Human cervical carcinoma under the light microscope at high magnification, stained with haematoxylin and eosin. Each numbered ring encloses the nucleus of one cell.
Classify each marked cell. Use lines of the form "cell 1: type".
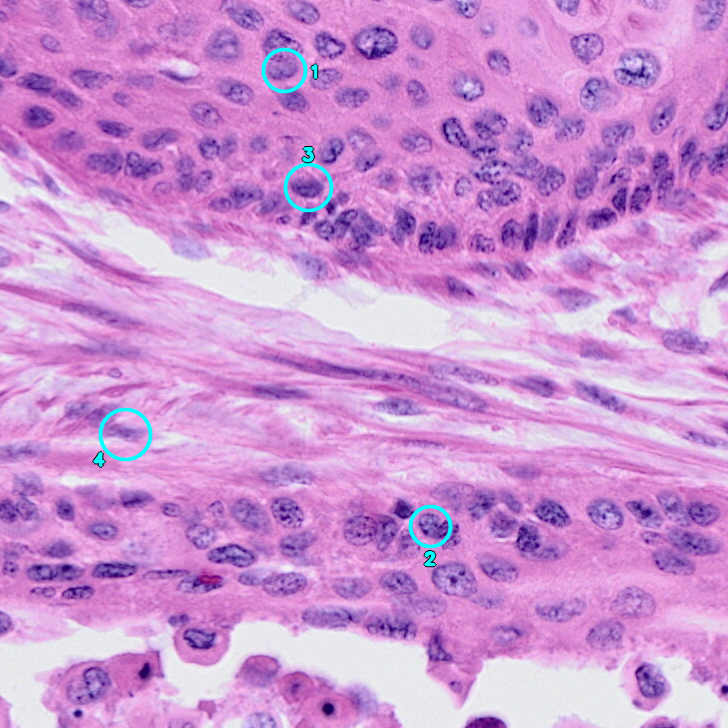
cell 1: squamous carcinoma cell
cell 2: squamous carcinoma cell
cell 3: squamous carcinoma cell
cell 4: fibroblast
